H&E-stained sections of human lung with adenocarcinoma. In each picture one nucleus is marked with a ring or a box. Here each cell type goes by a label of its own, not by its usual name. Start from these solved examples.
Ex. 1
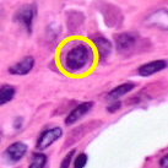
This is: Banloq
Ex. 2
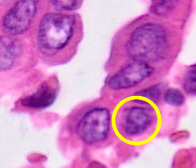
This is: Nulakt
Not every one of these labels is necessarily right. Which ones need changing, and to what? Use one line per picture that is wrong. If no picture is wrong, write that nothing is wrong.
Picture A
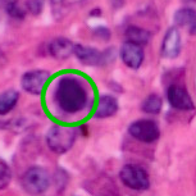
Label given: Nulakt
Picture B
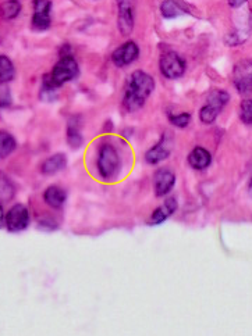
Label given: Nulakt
A is labelled Nulakt; correct label: Banloq
B is labelled Nulakt; correct label: Banloq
